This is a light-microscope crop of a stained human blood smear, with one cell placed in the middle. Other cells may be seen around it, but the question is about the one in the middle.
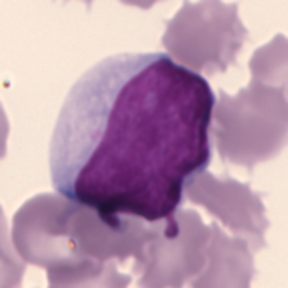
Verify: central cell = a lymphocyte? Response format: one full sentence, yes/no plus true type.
No, not a lymphocyte here; the centered cell is a blast.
